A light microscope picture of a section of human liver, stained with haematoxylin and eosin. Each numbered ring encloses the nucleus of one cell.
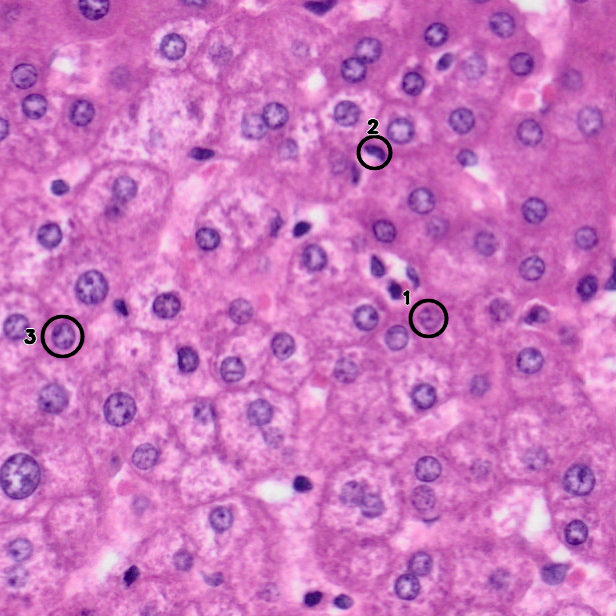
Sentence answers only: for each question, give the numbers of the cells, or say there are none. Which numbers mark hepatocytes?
The cells picked out by numbers 1 and 3 are hepatocytes.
